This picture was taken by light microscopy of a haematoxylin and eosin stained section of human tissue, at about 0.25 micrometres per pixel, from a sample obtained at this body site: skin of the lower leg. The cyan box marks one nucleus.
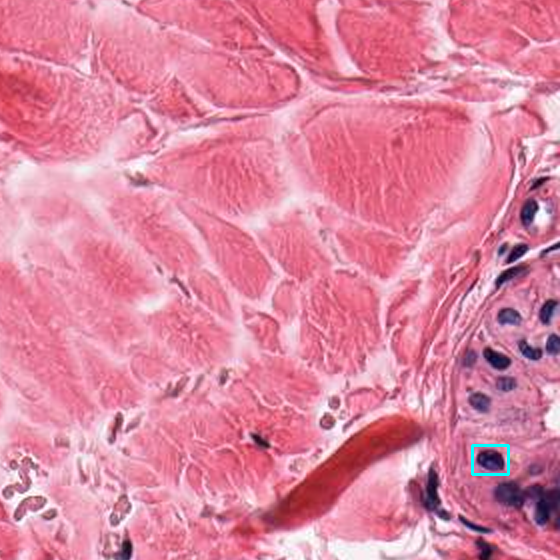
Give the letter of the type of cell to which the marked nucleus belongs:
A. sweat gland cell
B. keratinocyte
A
